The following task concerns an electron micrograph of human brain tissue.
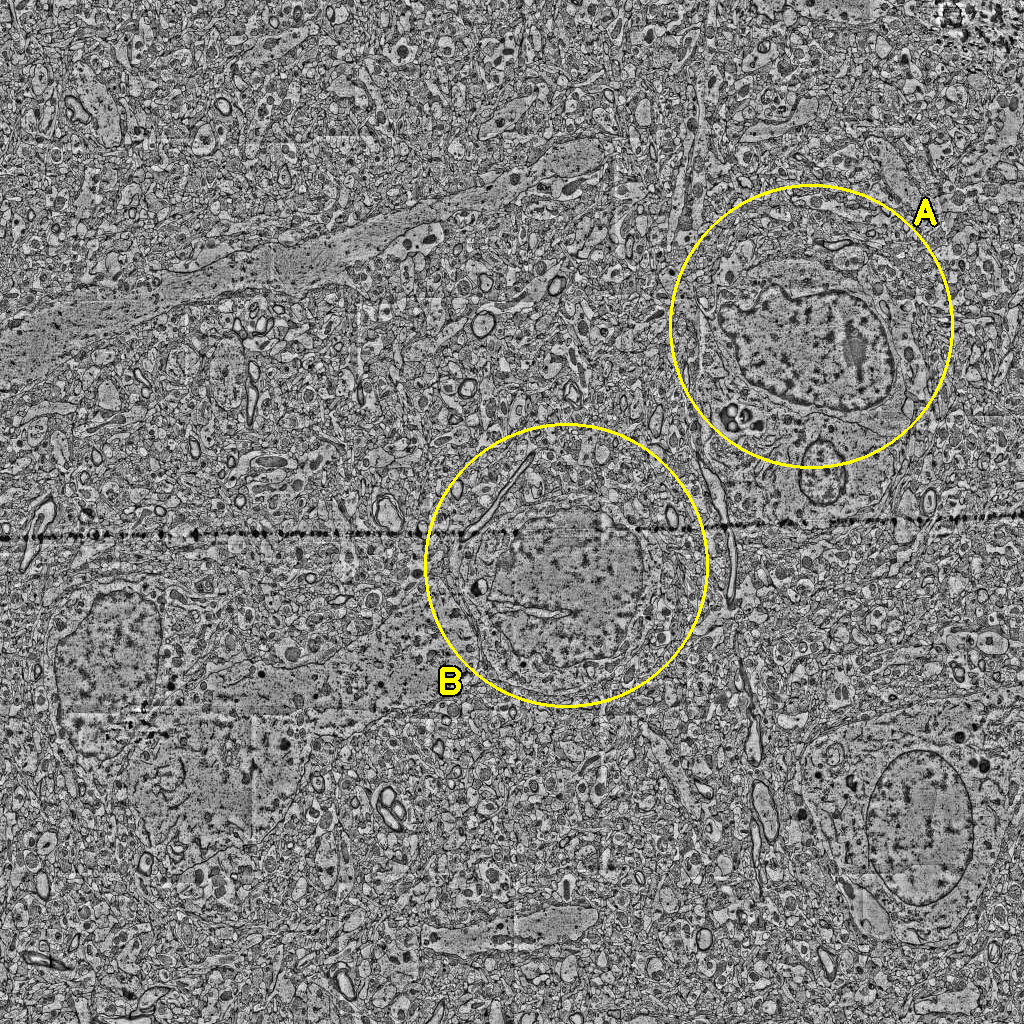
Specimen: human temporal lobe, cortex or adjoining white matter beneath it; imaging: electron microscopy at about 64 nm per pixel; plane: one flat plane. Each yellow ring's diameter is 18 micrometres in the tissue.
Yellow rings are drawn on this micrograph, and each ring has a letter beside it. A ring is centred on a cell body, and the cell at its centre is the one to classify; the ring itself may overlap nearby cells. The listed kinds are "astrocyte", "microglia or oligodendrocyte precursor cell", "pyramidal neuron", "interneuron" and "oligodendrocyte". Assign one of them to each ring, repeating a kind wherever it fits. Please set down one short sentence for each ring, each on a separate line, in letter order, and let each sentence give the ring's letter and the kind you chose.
The cell ringed as A is a microglial cell or oligodendrocyte precursor cell.
The cell ringed as B is an interneuron.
